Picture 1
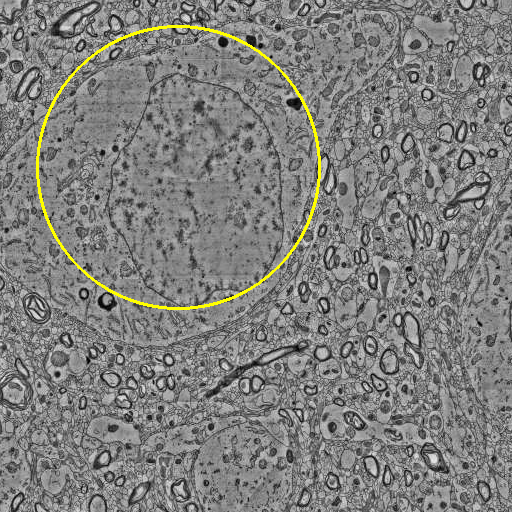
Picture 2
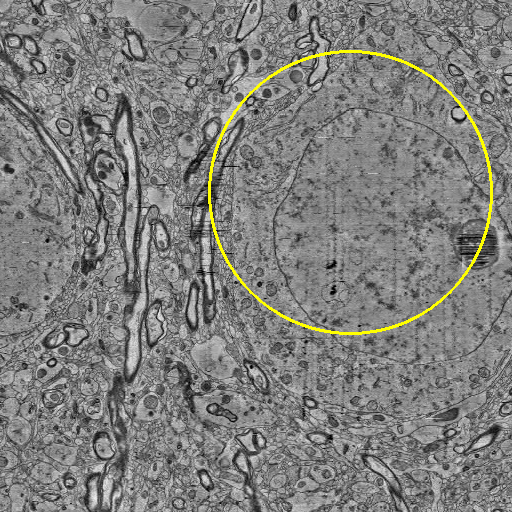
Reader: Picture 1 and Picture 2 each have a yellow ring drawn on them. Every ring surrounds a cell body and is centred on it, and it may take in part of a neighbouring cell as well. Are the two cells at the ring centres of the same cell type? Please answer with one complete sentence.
Yes, both cells are of the same cell type.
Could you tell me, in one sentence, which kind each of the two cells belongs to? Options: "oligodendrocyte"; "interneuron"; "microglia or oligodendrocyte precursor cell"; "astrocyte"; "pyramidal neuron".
Each of the two pictures has a pyramidal neuron at the ring centre.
